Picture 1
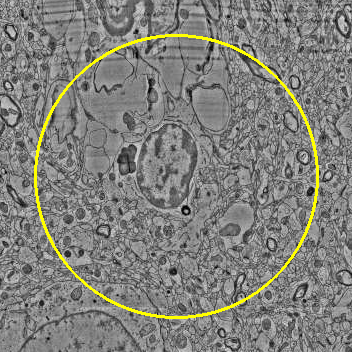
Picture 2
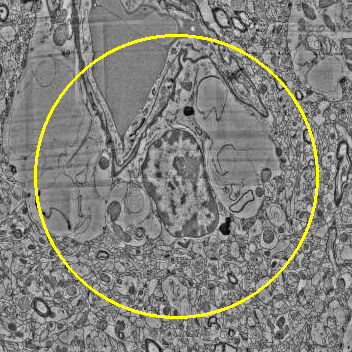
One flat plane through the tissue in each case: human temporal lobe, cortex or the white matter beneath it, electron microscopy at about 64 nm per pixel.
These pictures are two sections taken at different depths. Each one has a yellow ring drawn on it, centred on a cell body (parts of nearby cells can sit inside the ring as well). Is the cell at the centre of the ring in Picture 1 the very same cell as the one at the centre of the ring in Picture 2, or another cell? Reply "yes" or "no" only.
yes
